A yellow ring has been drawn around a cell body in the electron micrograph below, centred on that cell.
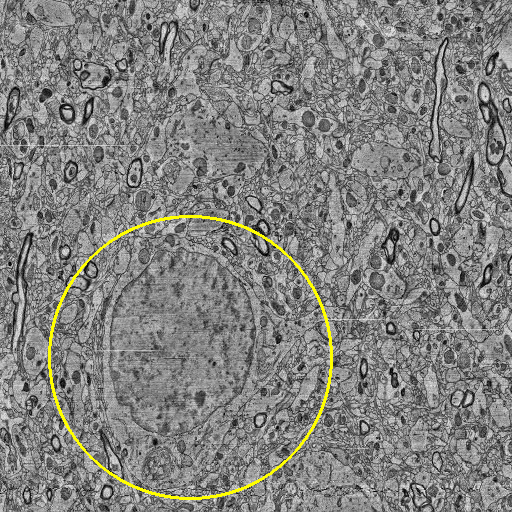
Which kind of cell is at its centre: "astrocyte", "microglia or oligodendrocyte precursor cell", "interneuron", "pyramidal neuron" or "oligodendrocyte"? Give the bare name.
interneuron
